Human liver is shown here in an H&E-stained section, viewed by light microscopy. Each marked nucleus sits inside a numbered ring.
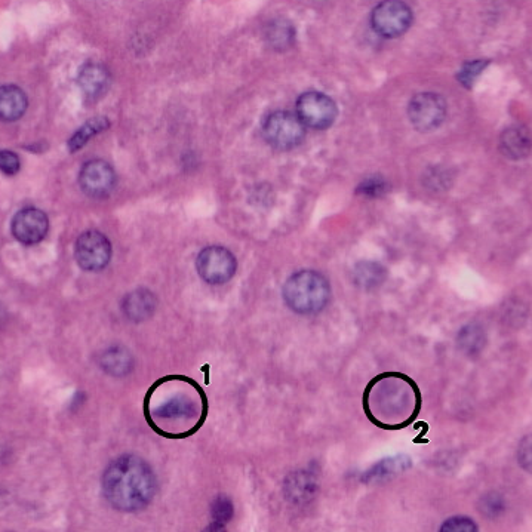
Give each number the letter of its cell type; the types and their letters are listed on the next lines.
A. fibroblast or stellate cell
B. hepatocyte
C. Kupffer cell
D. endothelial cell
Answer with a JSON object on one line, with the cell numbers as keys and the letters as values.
{"1": "D", "2": "B"}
